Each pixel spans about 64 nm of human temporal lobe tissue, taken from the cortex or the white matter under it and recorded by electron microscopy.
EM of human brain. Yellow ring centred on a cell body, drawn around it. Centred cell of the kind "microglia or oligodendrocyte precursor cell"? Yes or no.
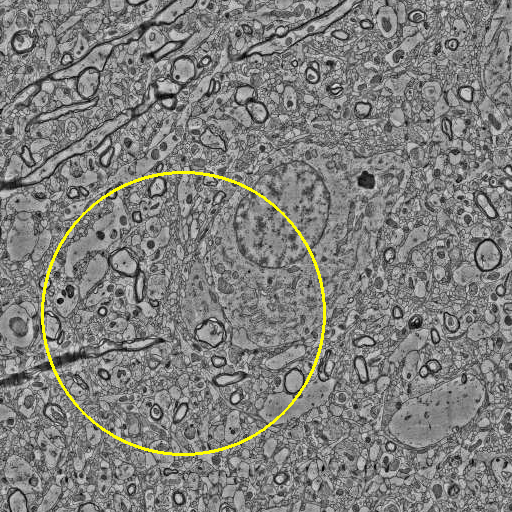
no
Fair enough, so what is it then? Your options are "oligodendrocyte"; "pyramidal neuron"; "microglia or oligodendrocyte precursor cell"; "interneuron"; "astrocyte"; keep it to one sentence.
The cell in question here is an oligodendrocyte.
